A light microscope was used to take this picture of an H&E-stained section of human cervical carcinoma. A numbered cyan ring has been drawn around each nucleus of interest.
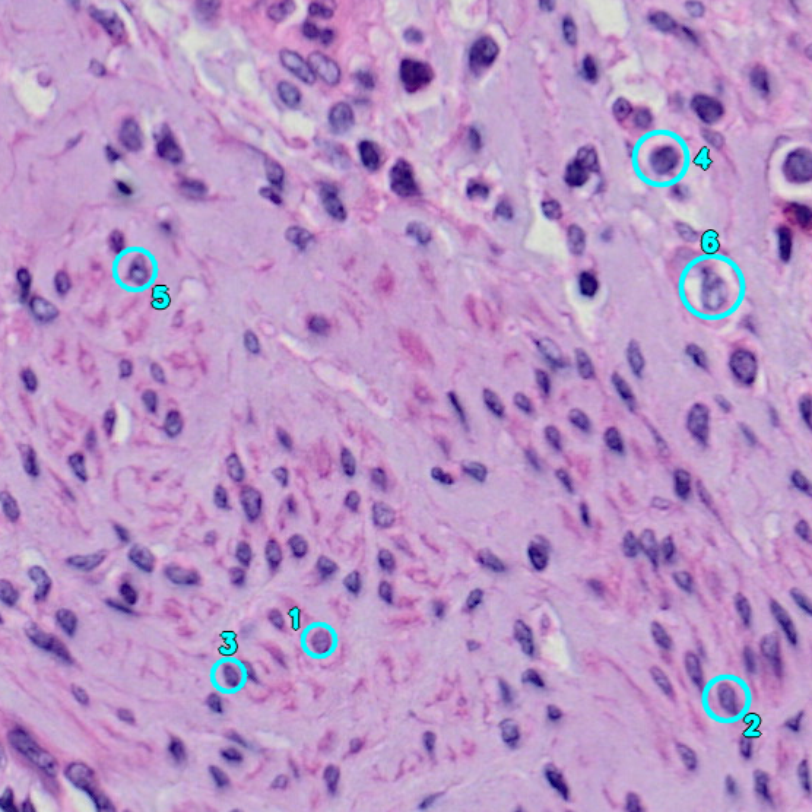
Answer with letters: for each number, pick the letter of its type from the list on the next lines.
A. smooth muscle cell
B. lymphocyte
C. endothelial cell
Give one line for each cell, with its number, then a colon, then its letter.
1: A
2: A
3: A
4: B
5: A
6: C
